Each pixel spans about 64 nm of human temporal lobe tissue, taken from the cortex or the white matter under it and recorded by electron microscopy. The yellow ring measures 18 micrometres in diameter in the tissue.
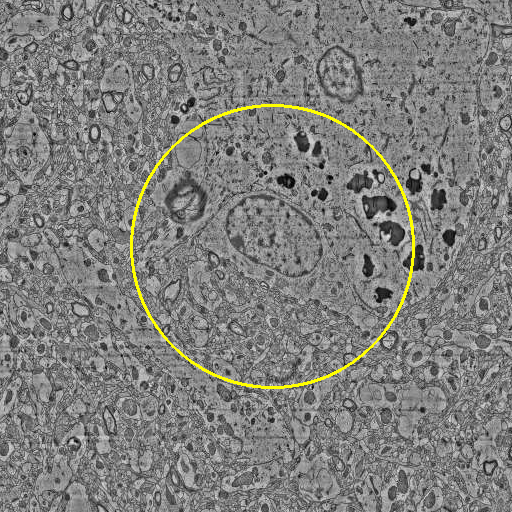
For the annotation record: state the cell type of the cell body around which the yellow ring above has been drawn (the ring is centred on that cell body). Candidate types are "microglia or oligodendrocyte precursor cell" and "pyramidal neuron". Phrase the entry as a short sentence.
The ringed cell is a microglial cell or oligodendrocyte precursor cell.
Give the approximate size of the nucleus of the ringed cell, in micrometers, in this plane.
The nucleus of the ringed cell is clearly longer than it is wide in this plane, about 7 by 4 micrometres.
